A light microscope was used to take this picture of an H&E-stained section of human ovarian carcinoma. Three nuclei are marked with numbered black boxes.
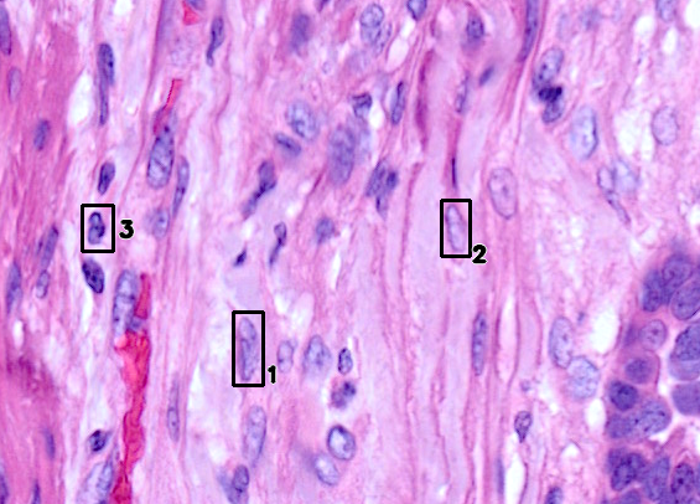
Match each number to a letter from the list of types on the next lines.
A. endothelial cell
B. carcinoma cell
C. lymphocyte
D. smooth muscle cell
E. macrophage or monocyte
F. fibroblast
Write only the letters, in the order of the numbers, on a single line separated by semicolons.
F; F; C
